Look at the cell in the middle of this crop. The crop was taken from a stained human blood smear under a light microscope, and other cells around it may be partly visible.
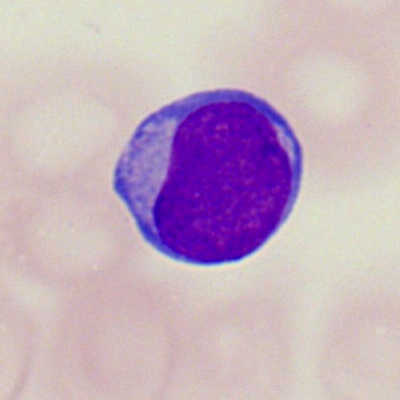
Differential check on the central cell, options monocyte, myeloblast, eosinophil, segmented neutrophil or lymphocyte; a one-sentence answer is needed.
For this crop, the central cell is a myeloblast.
